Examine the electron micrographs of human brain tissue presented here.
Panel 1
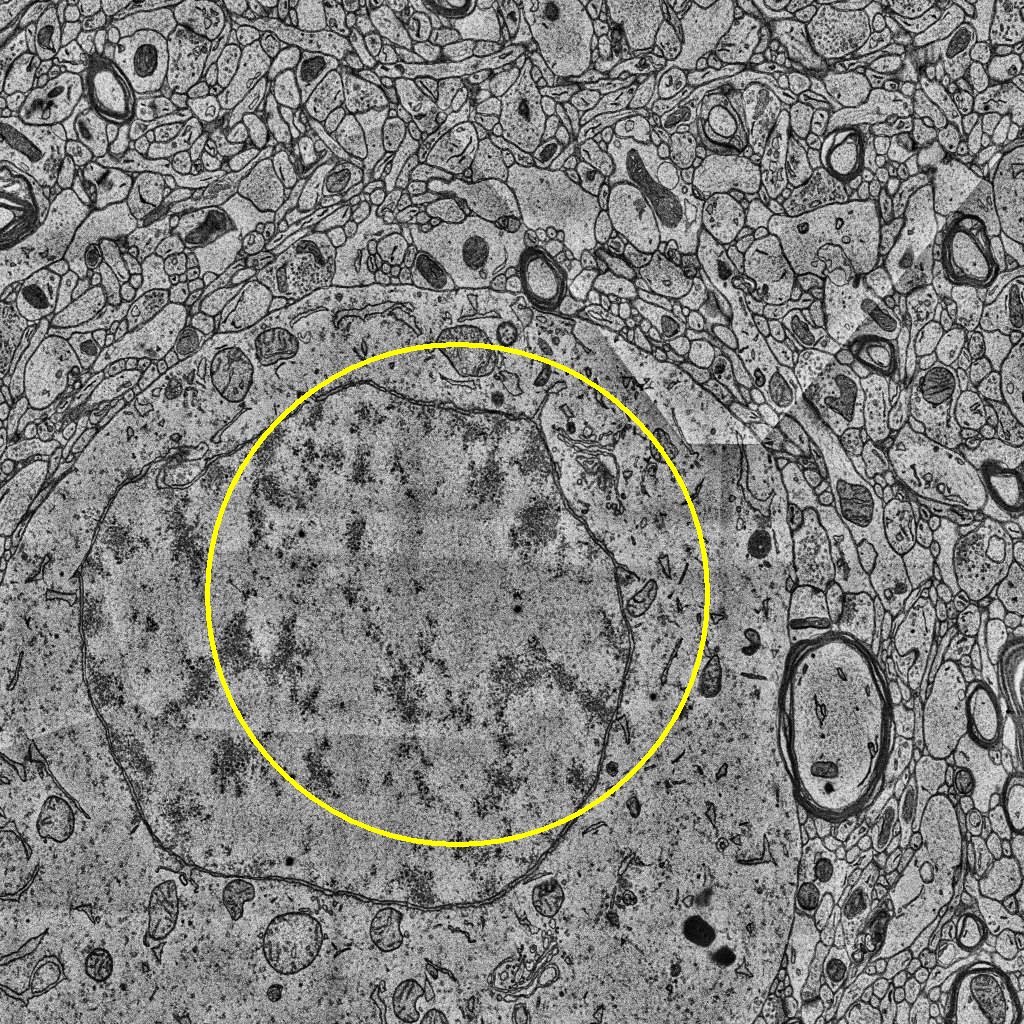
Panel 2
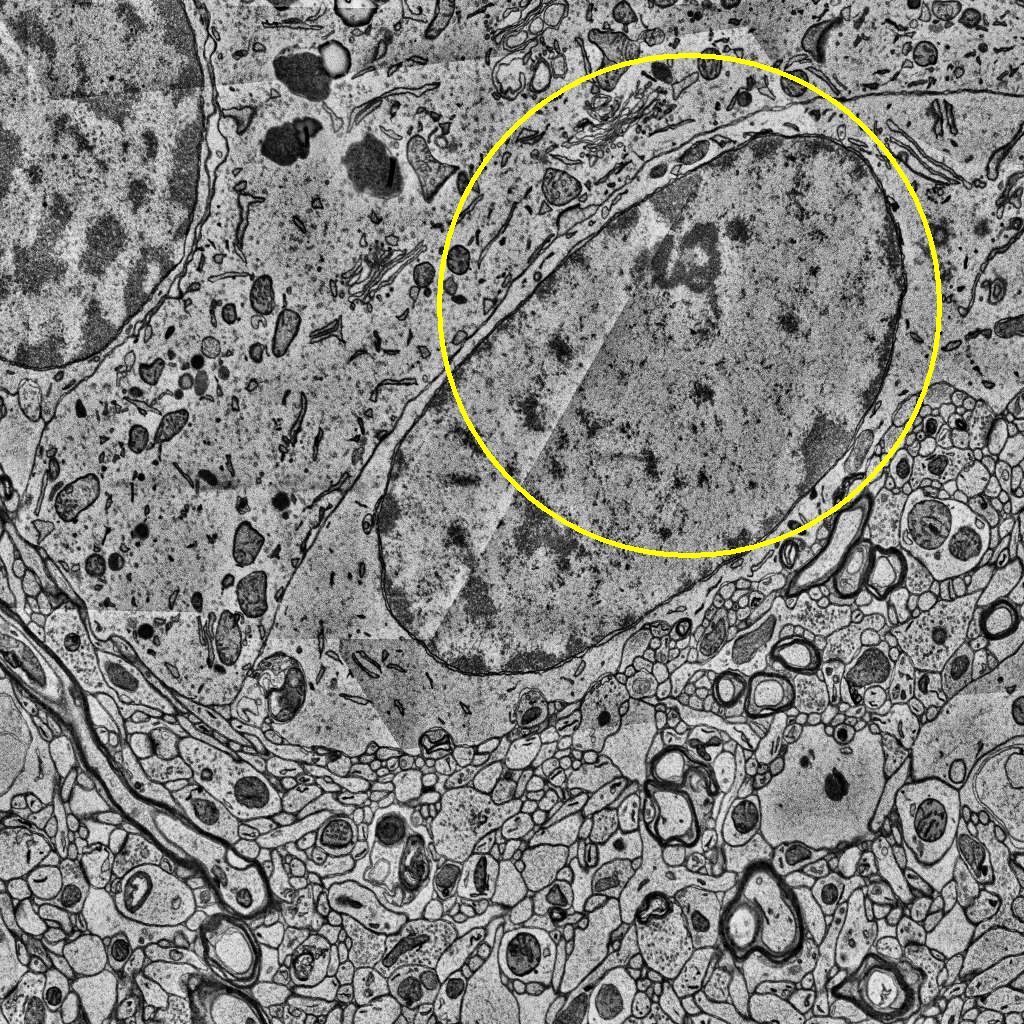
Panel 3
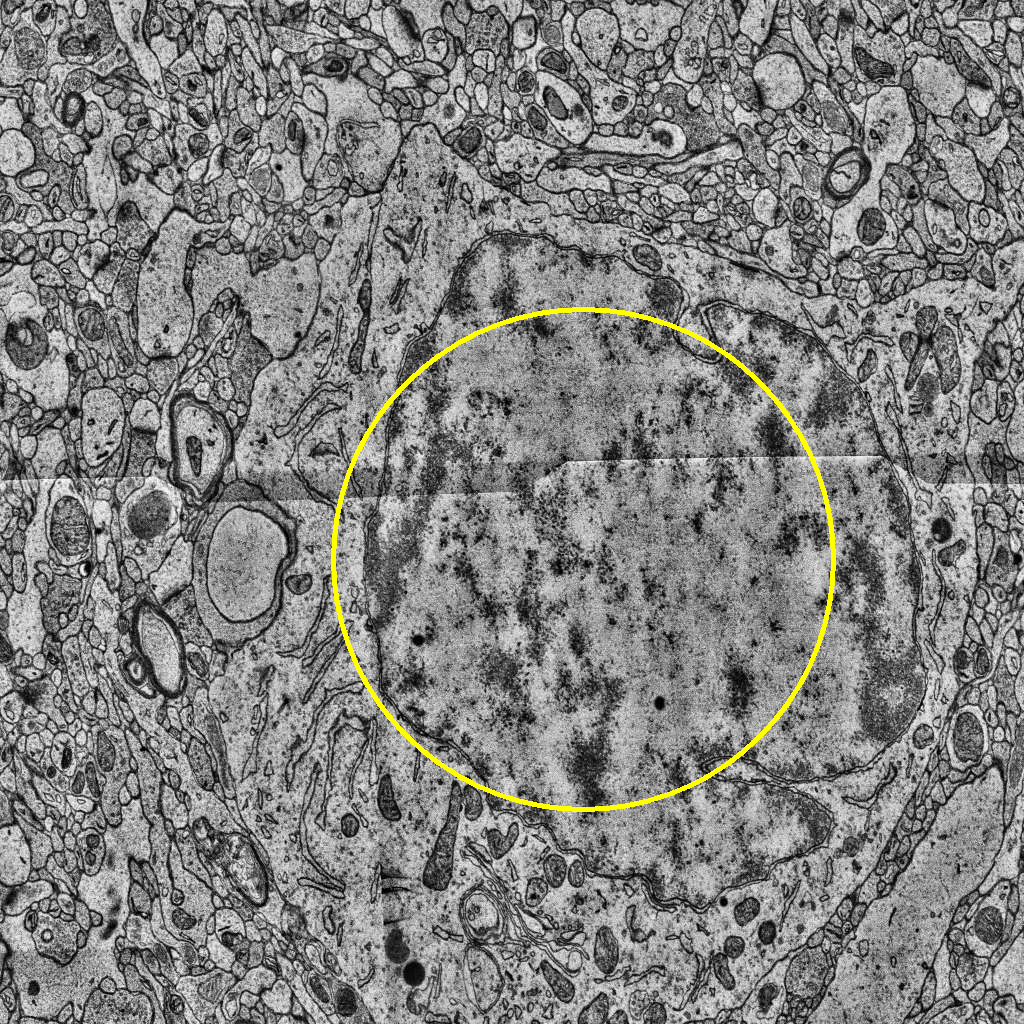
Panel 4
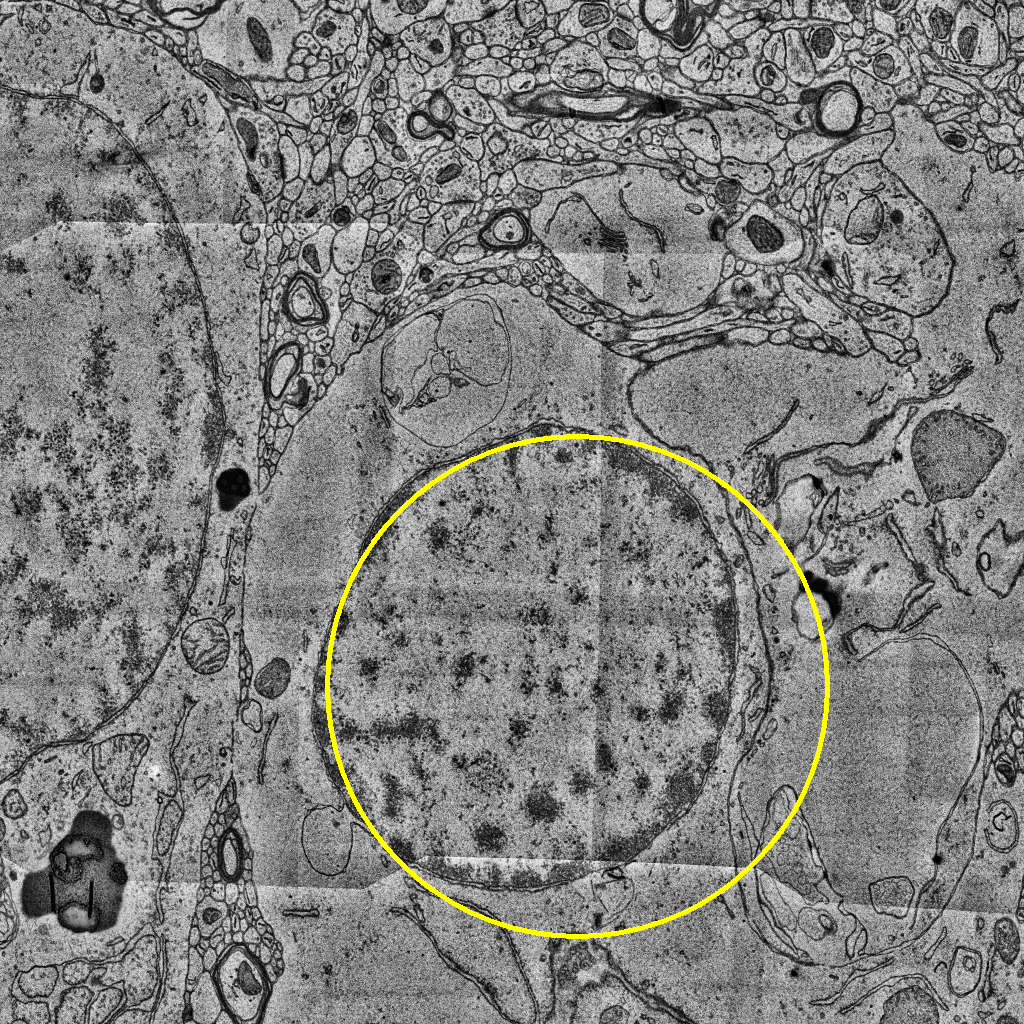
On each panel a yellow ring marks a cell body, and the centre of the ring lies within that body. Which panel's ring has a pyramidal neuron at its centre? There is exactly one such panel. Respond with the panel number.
1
